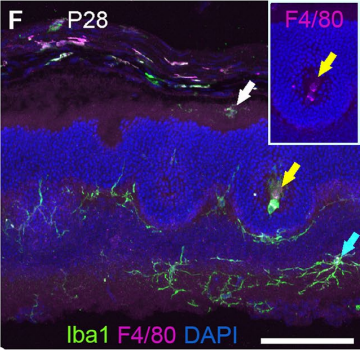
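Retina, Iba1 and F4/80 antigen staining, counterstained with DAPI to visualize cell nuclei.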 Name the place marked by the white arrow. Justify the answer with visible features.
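The arrow points to a pale cell just outside the outer edge of the outer nuclear layer. The cell lies between the nuclear layer and the pigmented outer layers at the top. That points to this answer: subretinal space.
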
